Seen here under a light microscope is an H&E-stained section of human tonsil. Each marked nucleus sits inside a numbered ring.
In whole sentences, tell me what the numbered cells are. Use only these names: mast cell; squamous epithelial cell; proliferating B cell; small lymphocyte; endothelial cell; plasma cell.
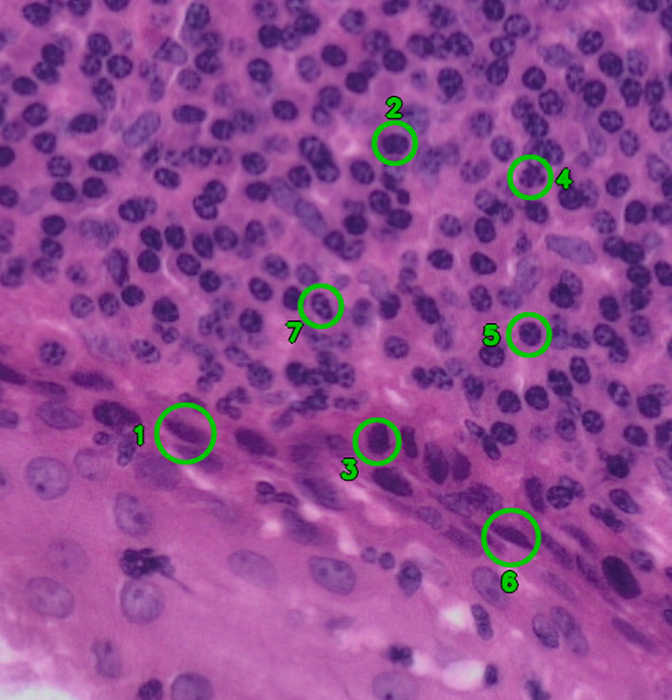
Cell 1 is a squamous epithelial cell, cell 2 is a plasma cell, cell 3 is a squamous epithelial cell, cell 4 is a plasma cell, cell 5 is a plasma cell, cell 6 is a squamous epithelial cell and cell 7 is a plasma cell.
